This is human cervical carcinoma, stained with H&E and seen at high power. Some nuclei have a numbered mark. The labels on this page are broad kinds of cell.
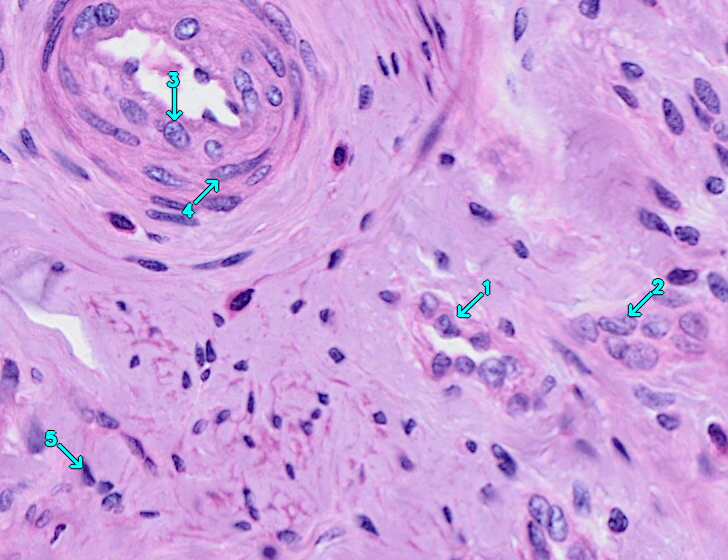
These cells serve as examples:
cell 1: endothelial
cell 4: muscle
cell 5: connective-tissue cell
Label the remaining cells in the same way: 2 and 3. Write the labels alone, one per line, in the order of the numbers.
endothelial
muscle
